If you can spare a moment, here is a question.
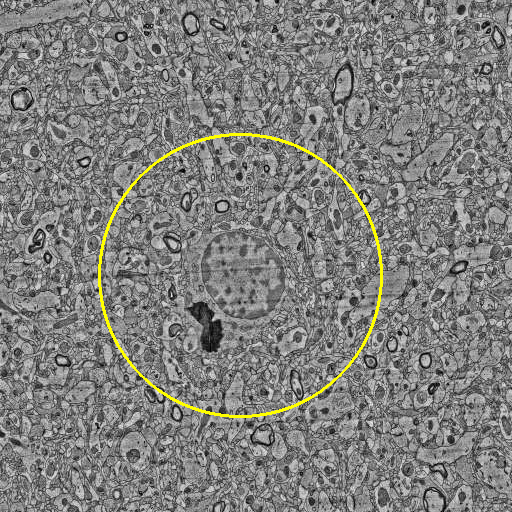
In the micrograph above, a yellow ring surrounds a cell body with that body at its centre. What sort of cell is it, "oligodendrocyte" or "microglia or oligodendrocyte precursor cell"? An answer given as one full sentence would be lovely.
Centred inside the yellow ring, the cell body shown belongs to an oligodendrocyte in this micrograph.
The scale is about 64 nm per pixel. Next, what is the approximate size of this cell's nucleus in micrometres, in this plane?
The nucleus appears about 6 micrometres across in this plane.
